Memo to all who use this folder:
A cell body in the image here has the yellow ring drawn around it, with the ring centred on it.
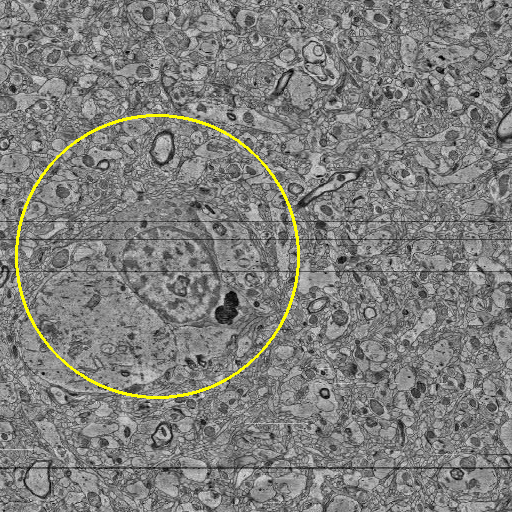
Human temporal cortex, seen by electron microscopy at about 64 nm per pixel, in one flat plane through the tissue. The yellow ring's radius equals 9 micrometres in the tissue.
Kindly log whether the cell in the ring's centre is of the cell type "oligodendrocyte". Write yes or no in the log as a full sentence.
Yes, logged: the ring in this image is centred on a cell of that type.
